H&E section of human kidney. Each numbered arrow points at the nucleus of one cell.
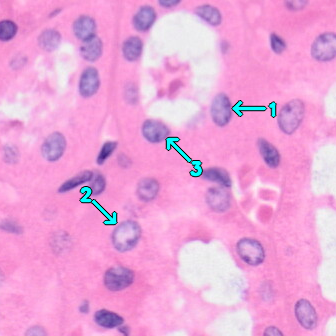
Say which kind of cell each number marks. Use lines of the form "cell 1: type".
cell 1: loop of Henle or distal tubule cell
cell 2: proximal tubule cell
cell 3: loop of Henle or distal tubule cell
